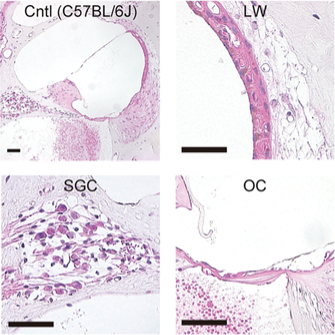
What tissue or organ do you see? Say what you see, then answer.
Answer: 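A large fluid-filled duct bounded by a thin membrane and a lateral wall. A cluster of round neuronal cell bodies lies medial to the duct. Bony tissue surrounds the soft tissue structures.
Cochleae.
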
